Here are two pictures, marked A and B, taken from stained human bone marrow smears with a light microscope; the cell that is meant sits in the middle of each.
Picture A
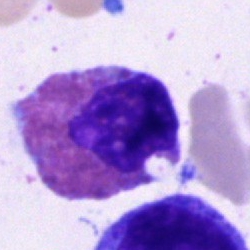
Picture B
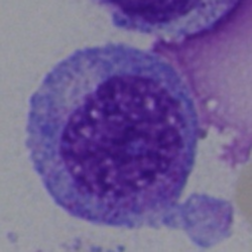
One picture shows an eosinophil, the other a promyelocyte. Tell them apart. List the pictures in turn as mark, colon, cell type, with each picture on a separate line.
A: eosinophil
B: promyelocyte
